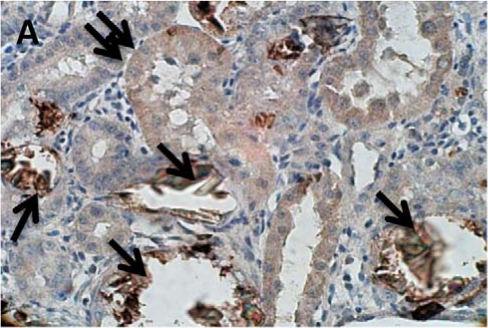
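Several tubular lumens in this kidney section contain dark brown, angular, shard-like deposits, while the tubules around them are lined by cuboidal epithelial cells with round blue nuclei. Some of these lumens are widened, and the deposits sit against or fill them. The lining cells of a tubule next to the deposits show a faint brownish tint in their cytoplasm. The dark material in the lumens corresponds to crystal deposits, and the lining cells are renal tubular epithelium.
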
